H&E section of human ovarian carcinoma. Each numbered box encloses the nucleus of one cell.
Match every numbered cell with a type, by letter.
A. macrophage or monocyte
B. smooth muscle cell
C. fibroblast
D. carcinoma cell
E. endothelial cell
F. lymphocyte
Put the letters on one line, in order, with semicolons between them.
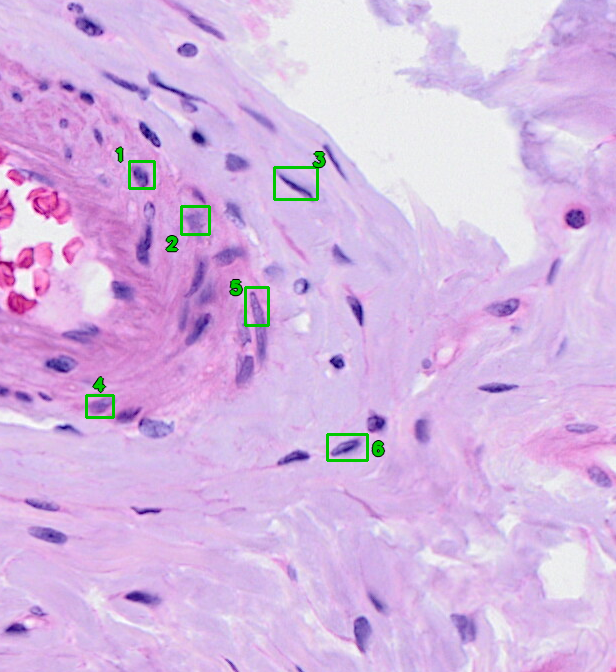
B; B; C; B; B; C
